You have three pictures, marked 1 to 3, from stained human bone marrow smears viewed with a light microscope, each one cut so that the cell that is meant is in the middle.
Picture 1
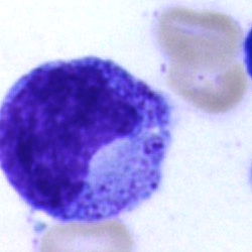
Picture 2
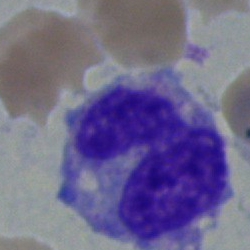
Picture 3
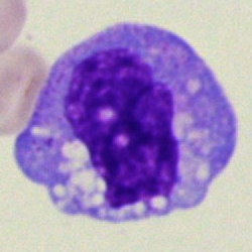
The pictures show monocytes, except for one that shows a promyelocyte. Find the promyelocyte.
1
